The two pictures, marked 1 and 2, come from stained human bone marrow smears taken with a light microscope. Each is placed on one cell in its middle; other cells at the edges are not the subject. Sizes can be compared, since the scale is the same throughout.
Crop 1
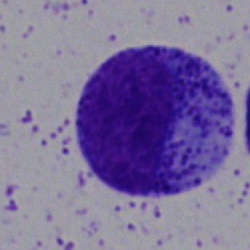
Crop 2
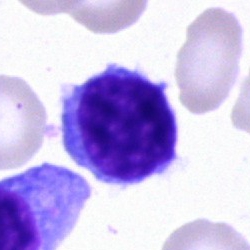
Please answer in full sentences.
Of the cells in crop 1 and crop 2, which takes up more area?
Larger is the cell in crop 1, at roughly 2 times the area of the other.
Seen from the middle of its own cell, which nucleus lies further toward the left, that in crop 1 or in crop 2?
Seen within its cell, the nucleus in crop 1 lies further toward the left.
